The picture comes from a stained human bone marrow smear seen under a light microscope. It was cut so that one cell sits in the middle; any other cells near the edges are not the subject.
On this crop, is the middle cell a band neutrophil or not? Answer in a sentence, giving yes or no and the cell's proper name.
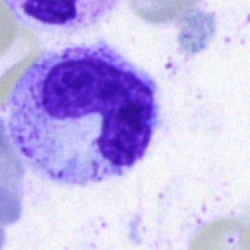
Yes, that is a band neutrophil in the middle of the crop.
